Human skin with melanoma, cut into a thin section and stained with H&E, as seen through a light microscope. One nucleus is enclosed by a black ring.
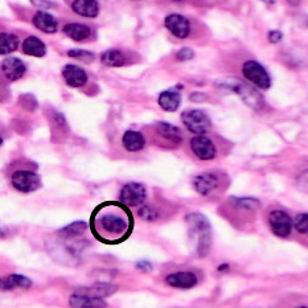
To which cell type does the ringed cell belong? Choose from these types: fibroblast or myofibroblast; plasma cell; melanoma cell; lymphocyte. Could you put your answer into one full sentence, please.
In this section, the ringed cell is a plasma cell.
